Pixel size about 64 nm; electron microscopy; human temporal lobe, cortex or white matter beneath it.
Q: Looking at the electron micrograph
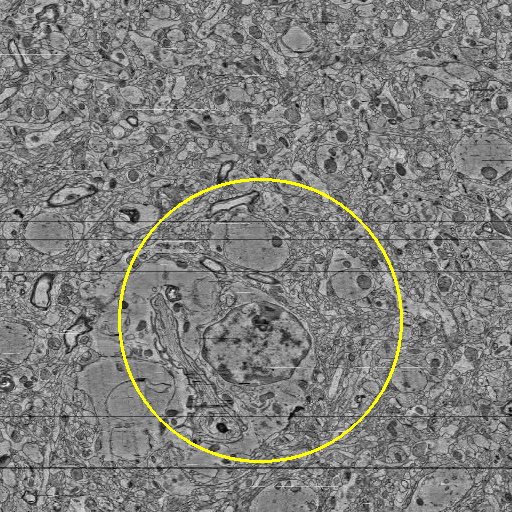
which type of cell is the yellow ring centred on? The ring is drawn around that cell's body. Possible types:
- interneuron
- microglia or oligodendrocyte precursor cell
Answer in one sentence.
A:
The yellow ring is centred on a microglial cell or oligodendrocyte precursor cell.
